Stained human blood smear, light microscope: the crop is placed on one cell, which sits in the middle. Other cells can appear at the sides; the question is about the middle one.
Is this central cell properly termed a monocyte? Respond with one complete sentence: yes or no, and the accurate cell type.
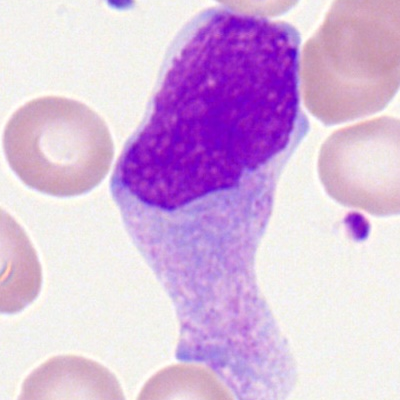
Yes, the cell sitting in the center is a monocyte.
